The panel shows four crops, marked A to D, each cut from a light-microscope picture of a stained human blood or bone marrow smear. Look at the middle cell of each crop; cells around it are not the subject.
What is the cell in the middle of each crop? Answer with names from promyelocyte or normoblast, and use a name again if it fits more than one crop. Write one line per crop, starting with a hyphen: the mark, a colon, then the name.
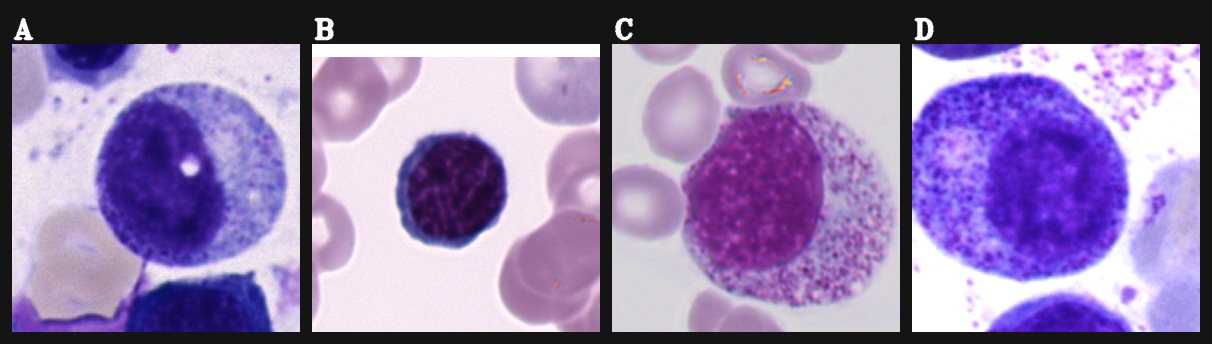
- A: promyelocyte
- B: normoblast
- C: promyelocyte
- D: promyelocyte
